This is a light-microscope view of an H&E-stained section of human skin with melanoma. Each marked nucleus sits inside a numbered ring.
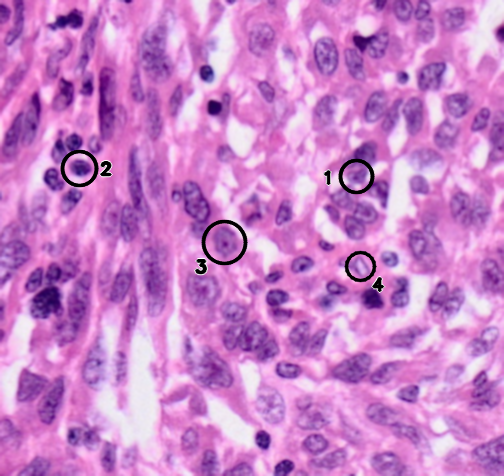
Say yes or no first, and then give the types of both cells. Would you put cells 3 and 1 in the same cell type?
Yes, in this tissue section, cells 3 and 1 are both melanoma cells.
